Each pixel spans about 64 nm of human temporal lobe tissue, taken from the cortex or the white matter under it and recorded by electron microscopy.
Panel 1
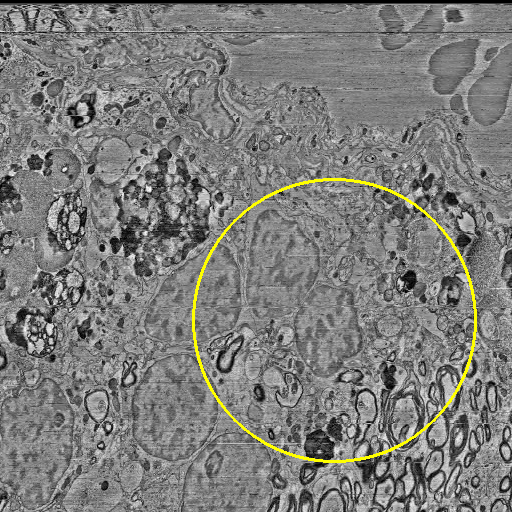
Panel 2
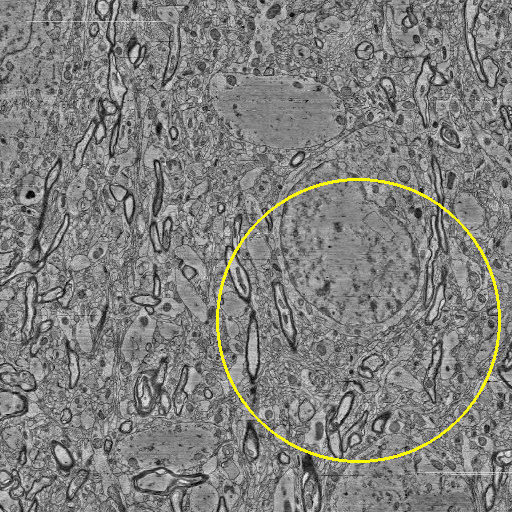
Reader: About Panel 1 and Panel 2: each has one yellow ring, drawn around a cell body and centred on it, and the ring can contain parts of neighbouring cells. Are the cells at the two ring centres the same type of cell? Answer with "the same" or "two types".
two types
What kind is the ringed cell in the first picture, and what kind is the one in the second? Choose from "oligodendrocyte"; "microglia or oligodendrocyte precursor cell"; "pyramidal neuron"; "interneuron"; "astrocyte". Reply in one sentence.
The first cell is an oligodendrocyte; the second is an interneuron.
